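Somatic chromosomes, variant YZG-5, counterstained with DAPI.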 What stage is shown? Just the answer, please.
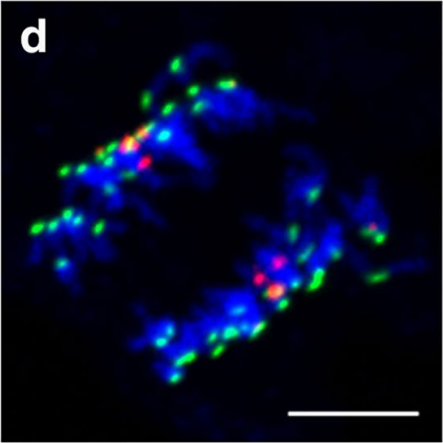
Anaphase.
